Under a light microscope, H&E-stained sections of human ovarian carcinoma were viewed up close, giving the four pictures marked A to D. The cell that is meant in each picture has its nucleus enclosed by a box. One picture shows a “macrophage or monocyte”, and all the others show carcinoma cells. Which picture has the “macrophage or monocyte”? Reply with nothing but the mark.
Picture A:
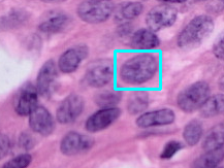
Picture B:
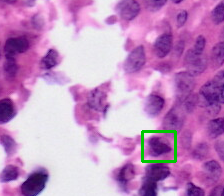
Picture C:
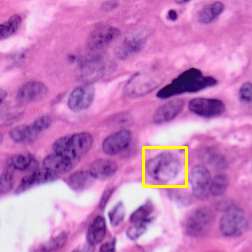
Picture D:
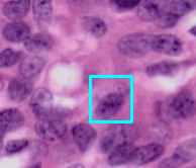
C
